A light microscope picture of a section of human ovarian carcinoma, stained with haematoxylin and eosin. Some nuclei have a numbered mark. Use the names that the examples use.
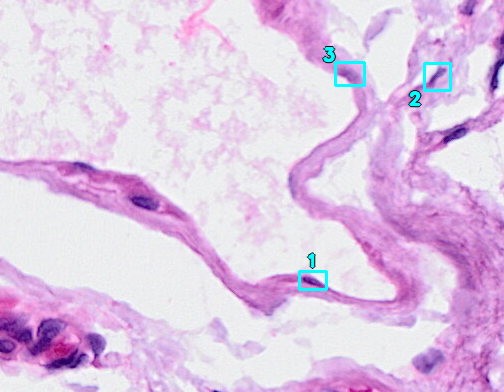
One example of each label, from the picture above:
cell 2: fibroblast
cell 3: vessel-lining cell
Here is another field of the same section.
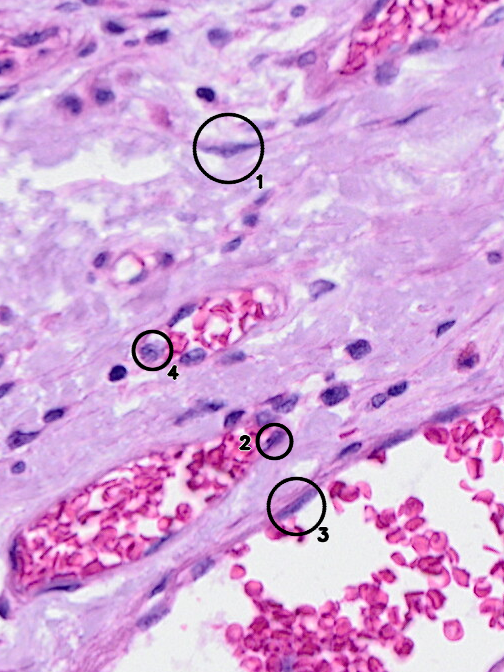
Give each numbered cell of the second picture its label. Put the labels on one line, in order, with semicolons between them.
fibroblast; vessel-lining cell; vessel-lining cell; vessel-lining cell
